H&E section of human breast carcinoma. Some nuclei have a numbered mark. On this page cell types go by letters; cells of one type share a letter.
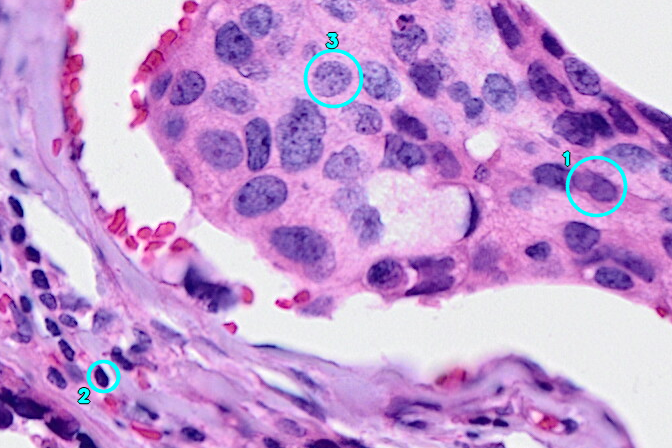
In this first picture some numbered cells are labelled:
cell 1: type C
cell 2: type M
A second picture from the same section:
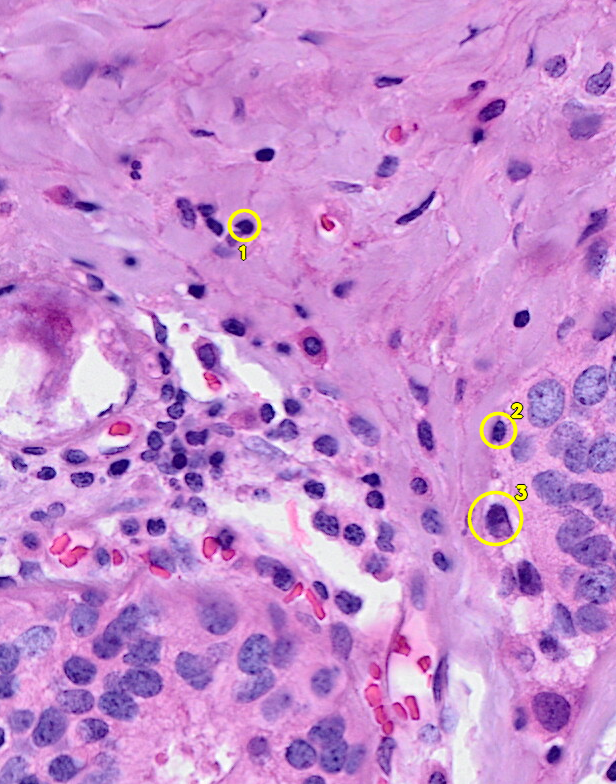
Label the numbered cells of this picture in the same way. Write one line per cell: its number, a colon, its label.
1: type M
2: type M
3: type C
